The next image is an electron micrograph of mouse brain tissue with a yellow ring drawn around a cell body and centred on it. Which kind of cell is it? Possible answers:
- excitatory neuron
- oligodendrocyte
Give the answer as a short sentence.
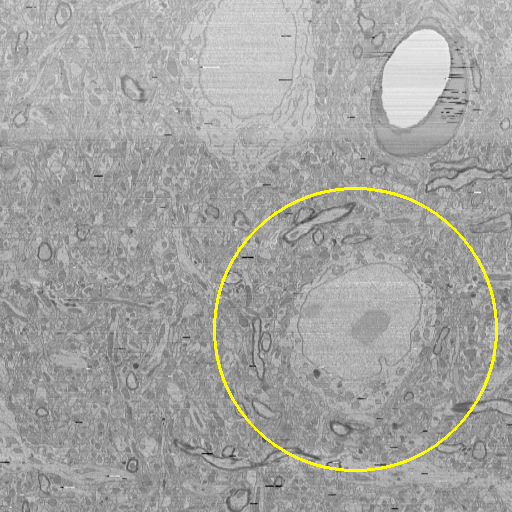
In the ring's centre is an excitatory neuron.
